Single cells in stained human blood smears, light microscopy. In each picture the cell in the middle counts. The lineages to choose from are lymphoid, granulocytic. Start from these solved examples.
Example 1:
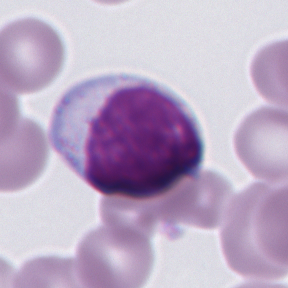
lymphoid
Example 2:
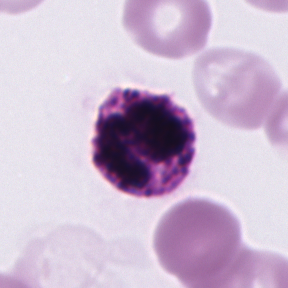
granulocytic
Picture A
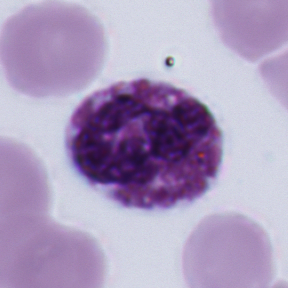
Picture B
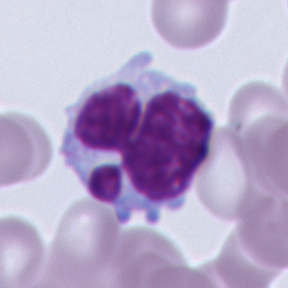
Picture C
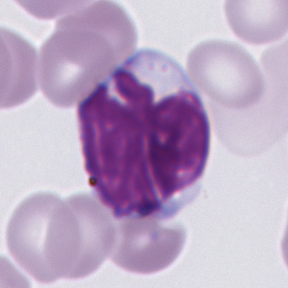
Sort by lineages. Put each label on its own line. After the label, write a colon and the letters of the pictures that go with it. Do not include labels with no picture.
lymphoid: B, C
granulocytic: A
